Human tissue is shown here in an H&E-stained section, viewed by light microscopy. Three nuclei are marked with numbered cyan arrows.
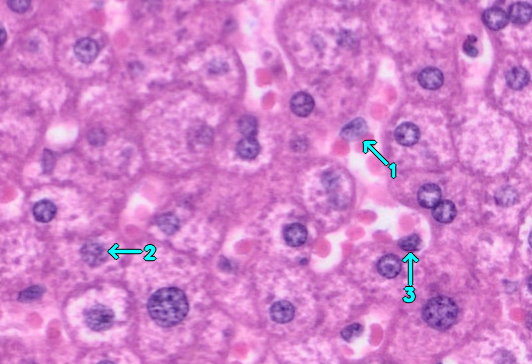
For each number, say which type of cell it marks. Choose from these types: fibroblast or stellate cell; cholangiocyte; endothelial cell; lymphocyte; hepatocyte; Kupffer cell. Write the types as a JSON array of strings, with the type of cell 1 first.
["endothelial cell", "hepatocyte", "Kupffer cell"]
